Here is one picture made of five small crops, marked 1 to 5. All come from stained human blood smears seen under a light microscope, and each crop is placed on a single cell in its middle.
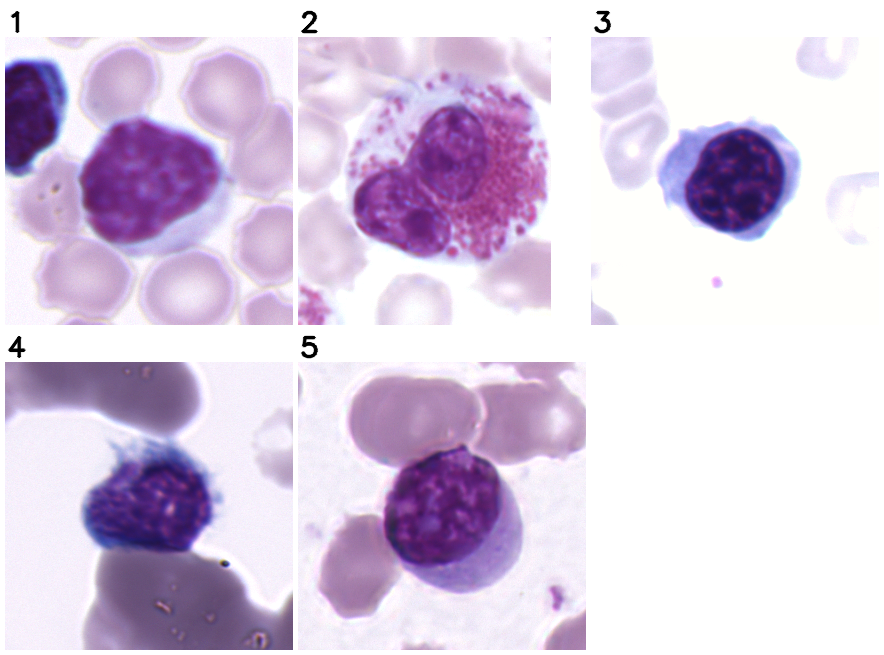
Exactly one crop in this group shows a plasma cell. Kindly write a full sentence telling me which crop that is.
Crop 5 is the one depicting a plasma cell.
